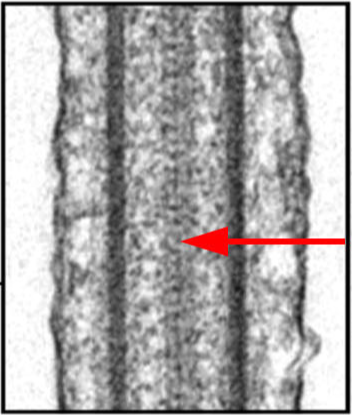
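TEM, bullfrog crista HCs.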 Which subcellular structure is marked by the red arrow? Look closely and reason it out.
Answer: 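Two longitudinal lines run down the middle of the shaft between the outer tubular profiles. The arrow points to this central region.
Conclusion: two central microtubule singlets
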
